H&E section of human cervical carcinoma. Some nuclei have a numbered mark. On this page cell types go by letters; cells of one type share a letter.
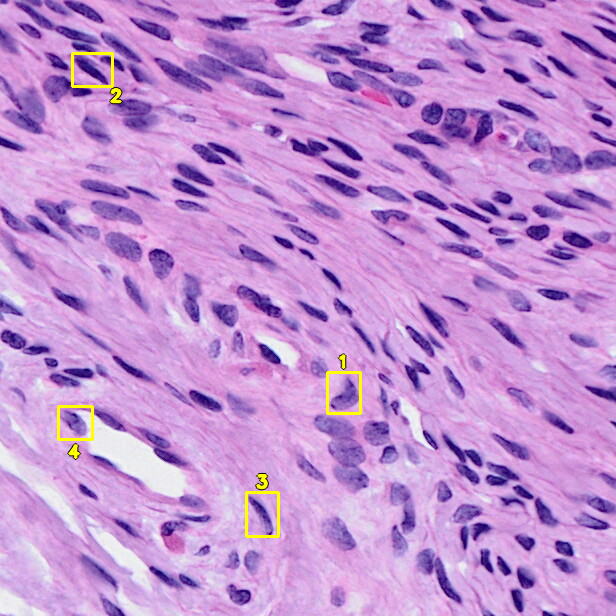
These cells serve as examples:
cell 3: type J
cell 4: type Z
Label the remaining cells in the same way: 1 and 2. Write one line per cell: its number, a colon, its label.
1: type J
2: type J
